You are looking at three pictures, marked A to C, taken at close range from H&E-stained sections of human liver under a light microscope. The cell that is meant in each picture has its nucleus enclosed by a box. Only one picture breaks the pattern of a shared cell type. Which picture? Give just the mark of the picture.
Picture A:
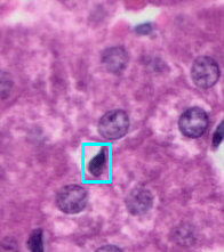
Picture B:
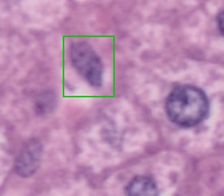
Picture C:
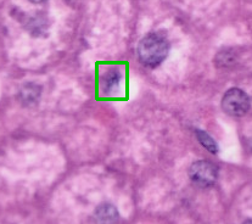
B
